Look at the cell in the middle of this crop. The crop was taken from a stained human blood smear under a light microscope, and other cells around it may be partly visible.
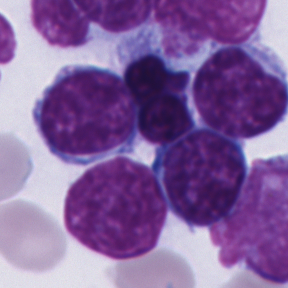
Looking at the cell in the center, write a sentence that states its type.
The cell at the heart of this crop is a blast.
